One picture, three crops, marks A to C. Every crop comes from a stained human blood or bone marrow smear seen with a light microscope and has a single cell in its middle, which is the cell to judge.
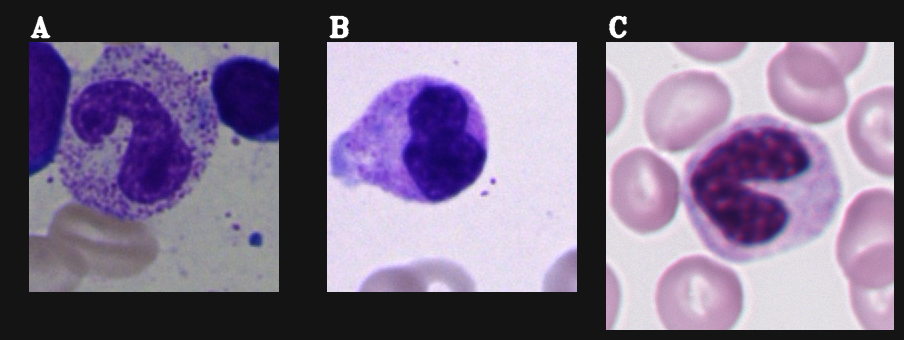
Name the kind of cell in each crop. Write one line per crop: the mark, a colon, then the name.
A: segmented neutrophil
B: metamyelocyte
C: band neutrophil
